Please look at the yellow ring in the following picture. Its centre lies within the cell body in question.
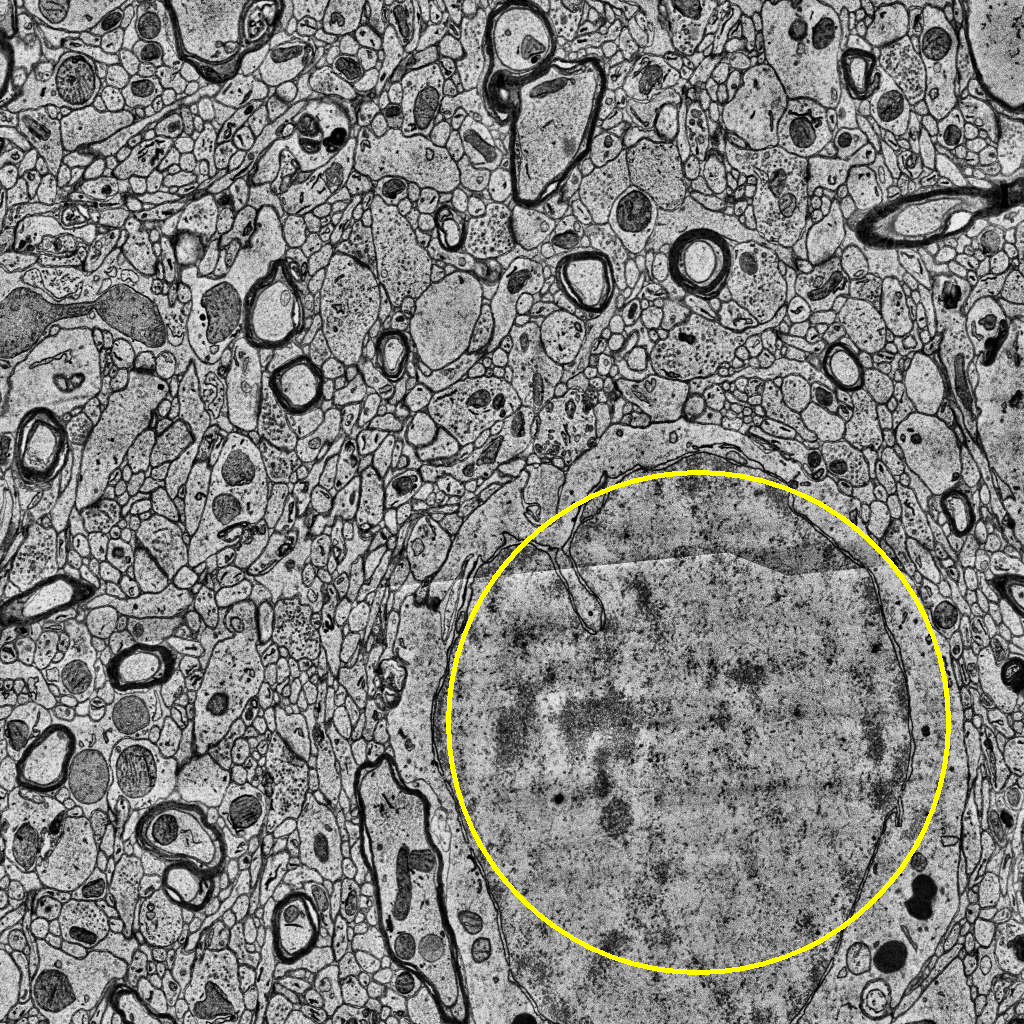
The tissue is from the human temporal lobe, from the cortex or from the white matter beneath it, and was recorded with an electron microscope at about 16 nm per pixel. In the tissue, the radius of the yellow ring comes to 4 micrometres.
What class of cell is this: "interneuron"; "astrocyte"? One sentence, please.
The centre of the ring lies in the cell body of an interneuron.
